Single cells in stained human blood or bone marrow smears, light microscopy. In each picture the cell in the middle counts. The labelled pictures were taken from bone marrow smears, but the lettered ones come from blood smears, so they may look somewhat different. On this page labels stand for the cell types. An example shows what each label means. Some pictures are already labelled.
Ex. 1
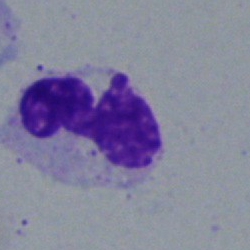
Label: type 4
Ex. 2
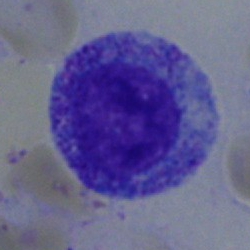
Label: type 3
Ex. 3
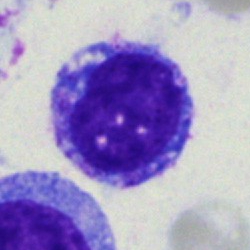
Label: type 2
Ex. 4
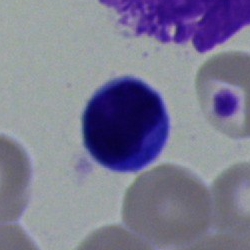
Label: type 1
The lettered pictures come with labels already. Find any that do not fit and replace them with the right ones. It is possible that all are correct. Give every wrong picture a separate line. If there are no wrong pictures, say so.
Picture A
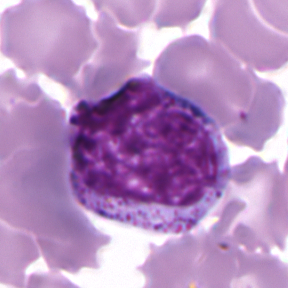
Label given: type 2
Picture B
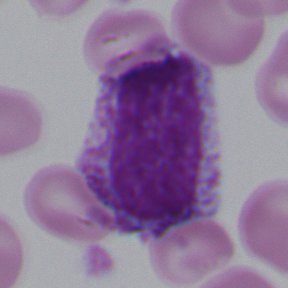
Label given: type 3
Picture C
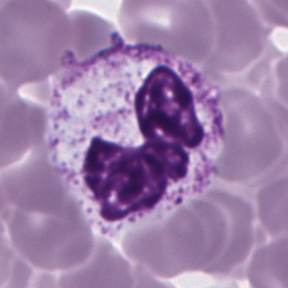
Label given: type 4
Wrong: A (type 2); correct: type 3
